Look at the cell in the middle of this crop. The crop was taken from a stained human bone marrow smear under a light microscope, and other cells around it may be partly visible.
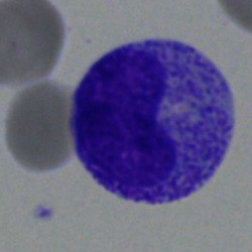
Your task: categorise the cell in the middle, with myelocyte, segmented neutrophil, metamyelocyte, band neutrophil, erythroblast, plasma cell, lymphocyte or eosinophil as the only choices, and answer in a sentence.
The cell positioned in the middle of the field is a metamyelocyte.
